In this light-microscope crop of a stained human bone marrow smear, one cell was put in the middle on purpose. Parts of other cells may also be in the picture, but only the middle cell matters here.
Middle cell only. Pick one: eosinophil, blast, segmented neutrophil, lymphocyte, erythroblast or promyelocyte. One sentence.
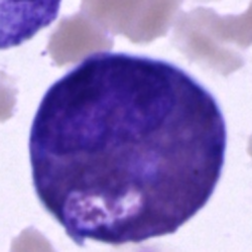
The centered cell in this crop is an eosinophil.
